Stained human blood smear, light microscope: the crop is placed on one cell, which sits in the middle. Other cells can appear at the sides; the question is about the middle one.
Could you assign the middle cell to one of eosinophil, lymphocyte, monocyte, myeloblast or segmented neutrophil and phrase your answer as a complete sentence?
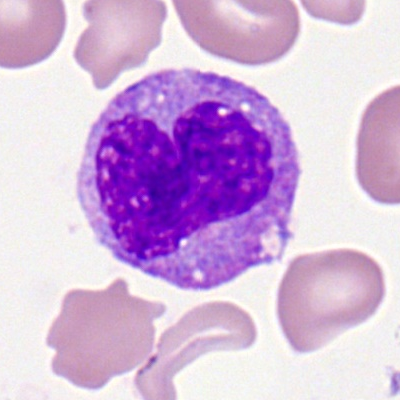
In short, the cell at the center is a monocyte.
